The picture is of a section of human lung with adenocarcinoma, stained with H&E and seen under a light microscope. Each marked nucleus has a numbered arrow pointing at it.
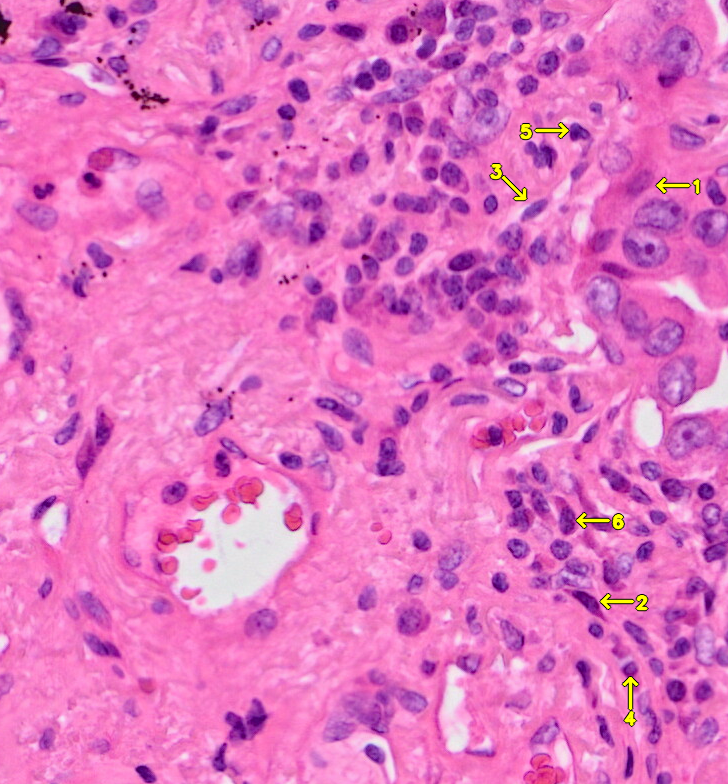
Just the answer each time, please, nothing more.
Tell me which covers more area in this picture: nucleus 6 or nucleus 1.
1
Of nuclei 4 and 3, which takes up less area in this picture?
4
